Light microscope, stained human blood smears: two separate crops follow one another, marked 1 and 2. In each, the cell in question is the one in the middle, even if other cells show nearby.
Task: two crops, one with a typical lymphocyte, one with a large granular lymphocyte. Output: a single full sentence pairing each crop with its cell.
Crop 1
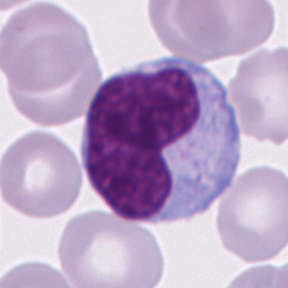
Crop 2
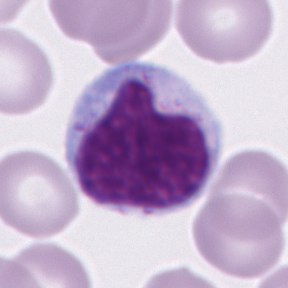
Taken crop by crop, crop 1 is a typical lymphocyte and crop 2 is a large granular lymphocyte.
